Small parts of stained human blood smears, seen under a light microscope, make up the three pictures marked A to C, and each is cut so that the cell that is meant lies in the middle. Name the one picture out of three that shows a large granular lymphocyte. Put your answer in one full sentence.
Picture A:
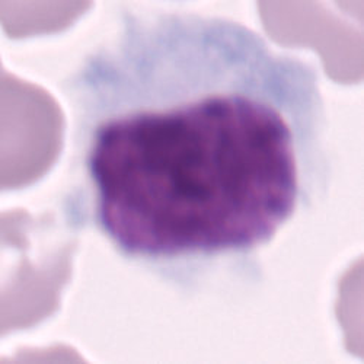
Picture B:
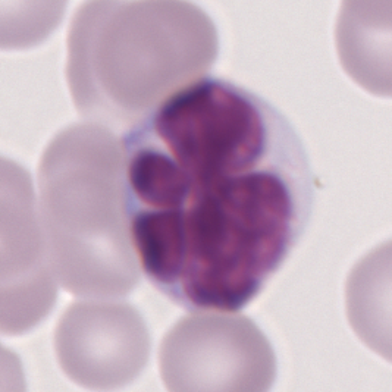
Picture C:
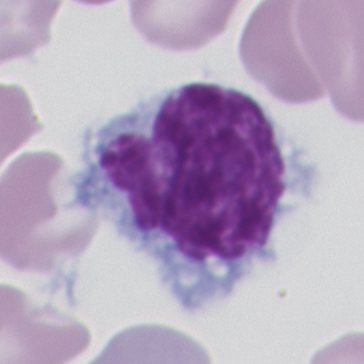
Picture B shows the large granular lymphocyte.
